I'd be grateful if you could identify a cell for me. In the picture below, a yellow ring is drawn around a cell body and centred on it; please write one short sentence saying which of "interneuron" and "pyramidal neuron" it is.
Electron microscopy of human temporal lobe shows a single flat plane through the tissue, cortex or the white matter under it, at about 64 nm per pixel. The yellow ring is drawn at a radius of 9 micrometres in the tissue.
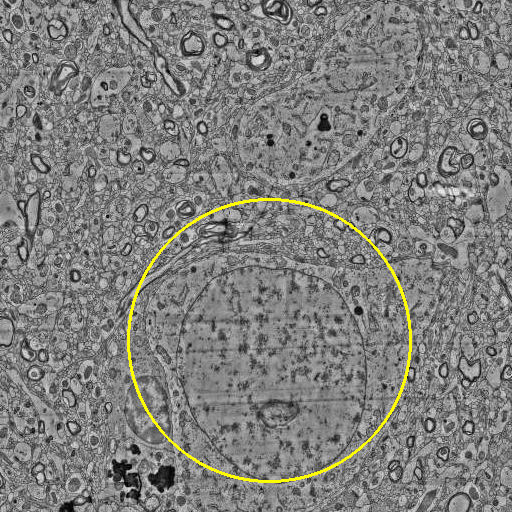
The cell under the ring's centre is a pyramidal neuron.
